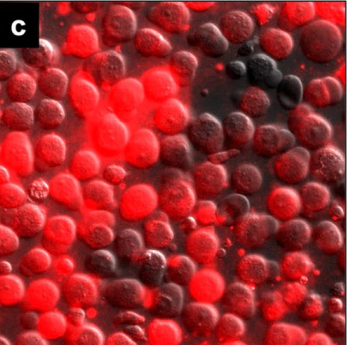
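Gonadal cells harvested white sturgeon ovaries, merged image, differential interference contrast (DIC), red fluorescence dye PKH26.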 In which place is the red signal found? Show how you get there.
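Intracellular. The red fluorescence lies within the outlines of the rounded cells seen in relief. Many cell bodies are filled with red while the gaps between cells are mostly dark grey.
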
